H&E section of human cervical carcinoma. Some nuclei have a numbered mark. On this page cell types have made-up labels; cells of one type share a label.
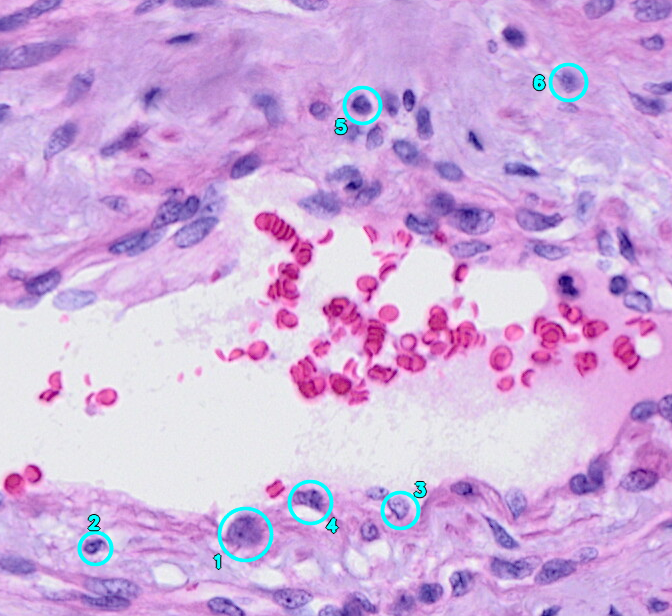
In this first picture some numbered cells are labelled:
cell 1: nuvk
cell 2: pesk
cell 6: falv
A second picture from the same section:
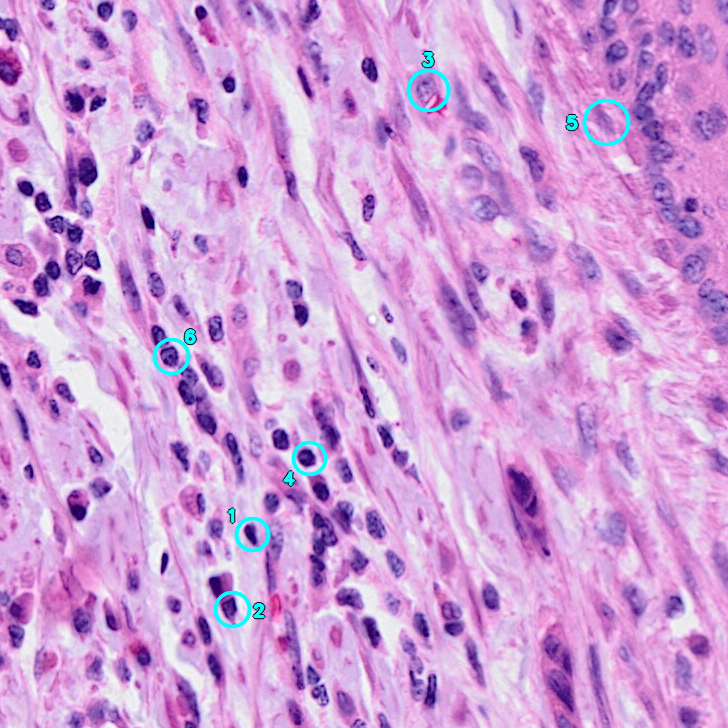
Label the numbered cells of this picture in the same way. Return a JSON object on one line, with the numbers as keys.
{"1": "pesk", "2": "pesk", "3": "nuvk", "4": "pesk", "5": "falv", "6": "pesk"}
